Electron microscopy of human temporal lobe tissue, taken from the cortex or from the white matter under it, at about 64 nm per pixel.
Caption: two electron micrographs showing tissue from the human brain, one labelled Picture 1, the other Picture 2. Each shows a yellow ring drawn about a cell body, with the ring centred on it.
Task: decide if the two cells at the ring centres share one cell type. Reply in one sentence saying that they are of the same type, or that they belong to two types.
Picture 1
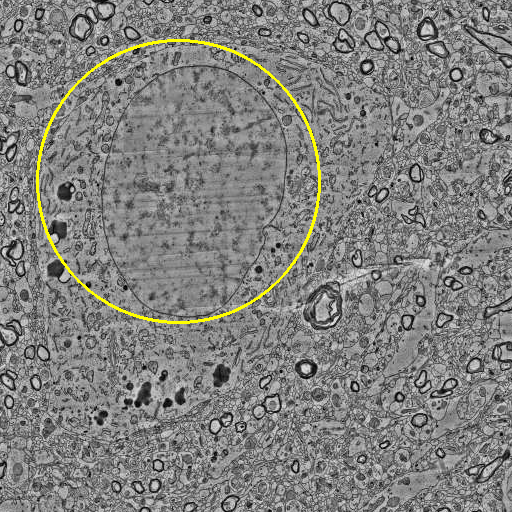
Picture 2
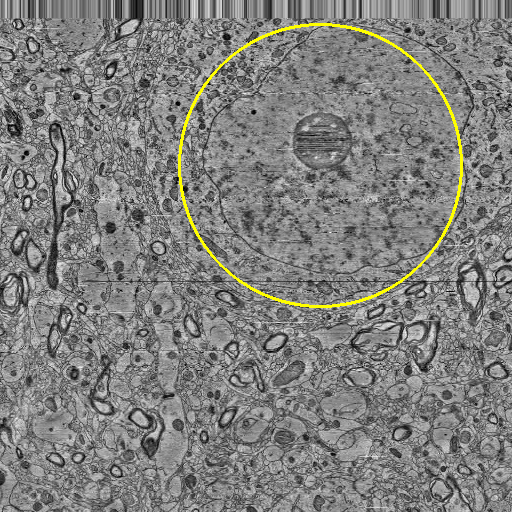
The cells at the ring centres in Picture 1 and Picture 2 are of the same type.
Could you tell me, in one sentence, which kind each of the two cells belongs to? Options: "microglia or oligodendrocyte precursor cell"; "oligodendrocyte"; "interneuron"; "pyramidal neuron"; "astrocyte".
Each of the ringed cells, first and second, is a pyramidal neuron.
